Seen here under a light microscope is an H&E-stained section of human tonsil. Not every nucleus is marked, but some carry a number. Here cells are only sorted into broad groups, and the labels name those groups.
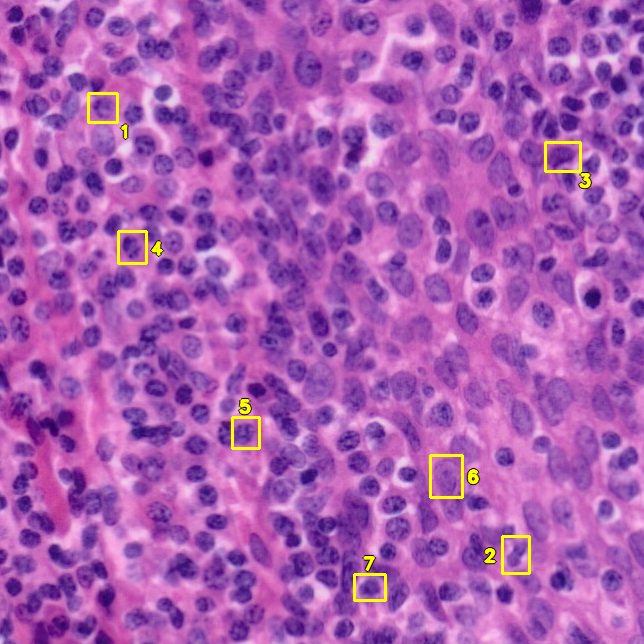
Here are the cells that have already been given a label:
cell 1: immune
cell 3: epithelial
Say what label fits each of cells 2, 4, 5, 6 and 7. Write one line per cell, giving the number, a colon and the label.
2: epithelial
4: immune
5: immune
6: epithelial
7: epithelial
